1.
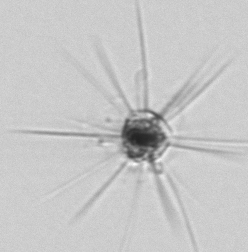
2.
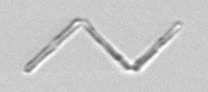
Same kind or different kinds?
Different: the first is a radiolarian, the second Nanoneis.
